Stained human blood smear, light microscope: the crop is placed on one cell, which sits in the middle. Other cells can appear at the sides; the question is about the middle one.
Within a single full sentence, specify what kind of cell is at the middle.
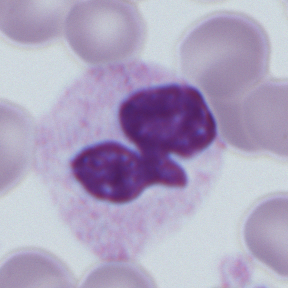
The cell that lies at the centre of the crop is a segmented neutrophil.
